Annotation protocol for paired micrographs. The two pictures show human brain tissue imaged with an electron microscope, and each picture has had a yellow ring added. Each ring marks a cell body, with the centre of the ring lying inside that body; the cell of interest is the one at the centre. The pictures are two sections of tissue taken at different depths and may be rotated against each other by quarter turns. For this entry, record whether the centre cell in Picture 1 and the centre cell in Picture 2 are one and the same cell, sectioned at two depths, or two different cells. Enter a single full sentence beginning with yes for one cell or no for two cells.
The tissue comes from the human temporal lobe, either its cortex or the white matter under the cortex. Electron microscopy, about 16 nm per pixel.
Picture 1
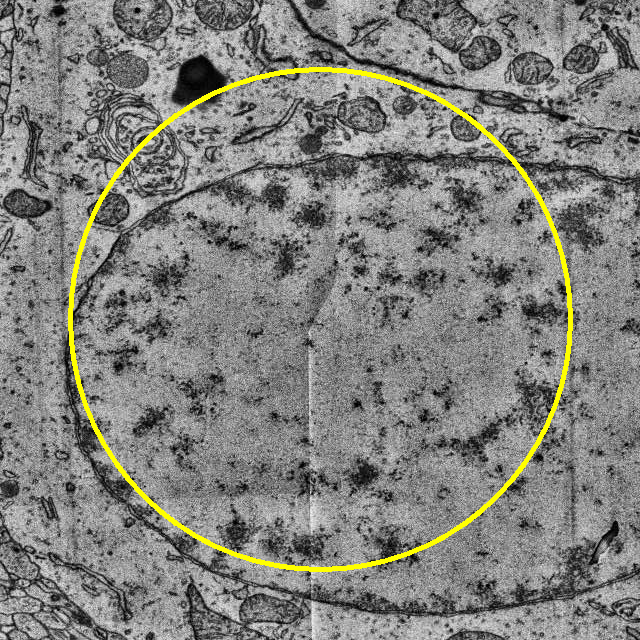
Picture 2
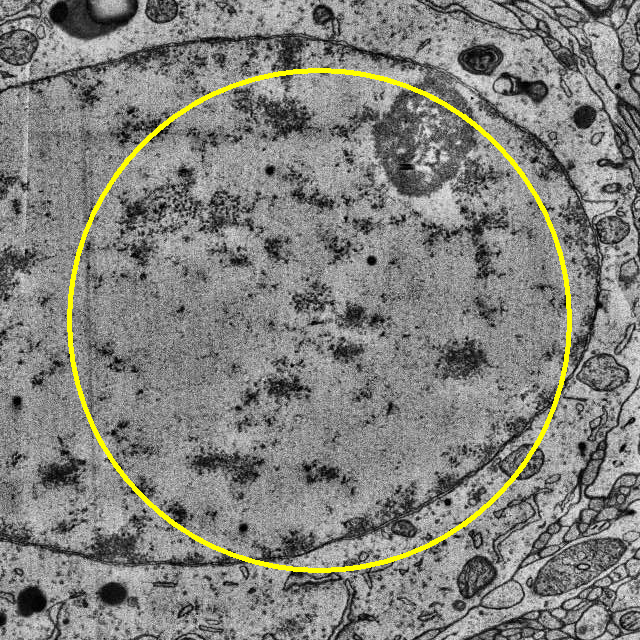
Yes, the same cell appears within both yellow rings.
